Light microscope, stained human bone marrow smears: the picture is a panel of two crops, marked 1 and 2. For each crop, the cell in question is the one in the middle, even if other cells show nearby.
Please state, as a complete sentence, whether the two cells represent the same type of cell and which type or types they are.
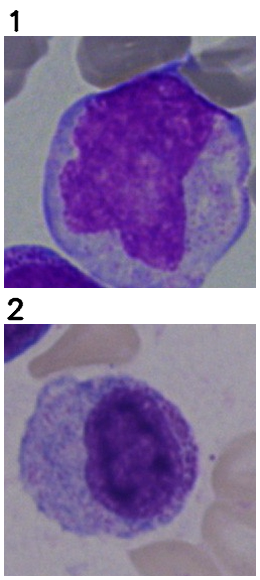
No, a monocyte and a myelocyte are found in crop 1 and crop 2, respectively.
